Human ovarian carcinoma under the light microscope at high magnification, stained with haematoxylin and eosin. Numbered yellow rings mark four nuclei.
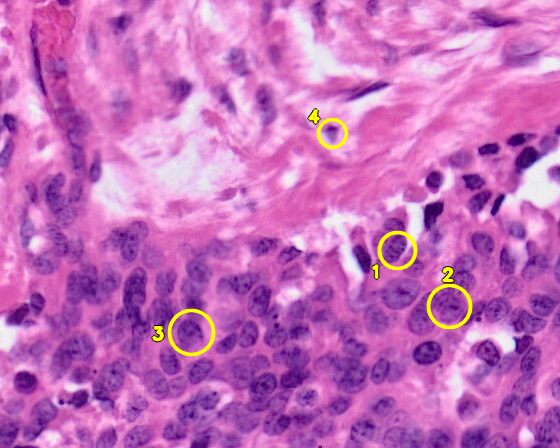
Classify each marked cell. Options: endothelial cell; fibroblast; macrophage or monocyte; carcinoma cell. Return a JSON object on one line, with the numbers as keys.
{"1": "carcinoma cell", "2": "carcinoma cell", "3": "carcinoma cell", "4": "fibroblast"}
